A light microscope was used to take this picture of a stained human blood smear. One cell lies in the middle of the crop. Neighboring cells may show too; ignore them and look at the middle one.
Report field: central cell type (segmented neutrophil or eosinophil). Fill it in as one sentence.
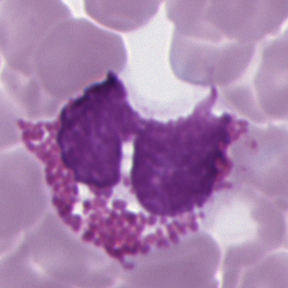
Seen at the centre of the crop is an eosinophil.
